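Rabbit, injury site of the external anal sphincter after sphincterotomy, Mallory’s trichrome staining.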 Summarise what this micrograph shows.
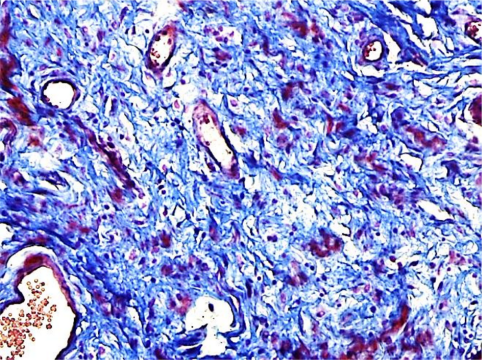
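Red-stained muscle bundles are almost absent, seen only as scattered small reddish-purple spots within the fibrous tissue. Several thin-walled blood vessels run through the tissue. One vessel at the lower left contains a cluster of red blood cells. The architecture is disorganised compared with the ordered bundles of intact muscle.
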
